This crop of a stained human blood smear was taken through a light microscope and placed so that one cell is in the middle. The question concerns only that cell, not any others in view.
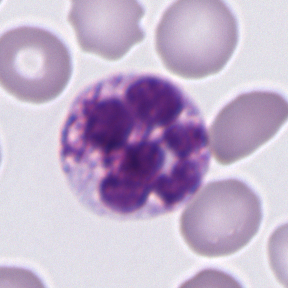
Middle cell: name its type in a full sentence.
The cell that lies at the centre of the crop is a basophil.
